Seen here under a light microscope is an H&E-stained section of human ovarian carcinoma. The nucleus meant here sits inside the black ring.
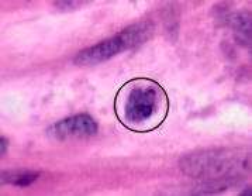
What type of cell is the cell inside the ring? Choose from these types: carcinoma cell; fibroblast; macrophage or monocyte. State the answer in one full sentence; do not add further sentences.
Cytologically, the cell inside the ring is to be regarded as a macrophage or monocyte.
